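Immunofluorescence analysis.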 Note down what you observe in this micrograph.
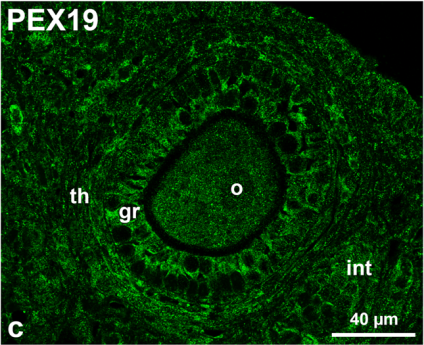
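This is a growing ovarian follicle with a large central oocyte surrounded by granulosa cells and an outer sheath of theca cells. The oocyte cytoplasm is filled with a fine, evenly granular green signal and is ringed by a broad dark unstained band. The innermost granulosa cells are elongated and stand radially around this dark band, with further granulosa layers outside them. Beyond the granulosa layers, flattened cells are arranged in concentric rings, and outside the follicle lie interstitial cells with green cytoplasm.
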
